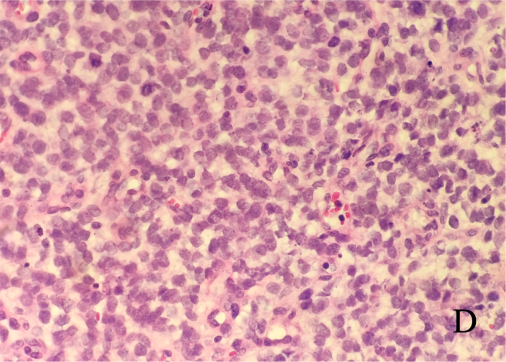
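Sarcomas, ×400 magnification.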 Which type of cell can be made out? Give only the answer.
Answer: Small round cells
